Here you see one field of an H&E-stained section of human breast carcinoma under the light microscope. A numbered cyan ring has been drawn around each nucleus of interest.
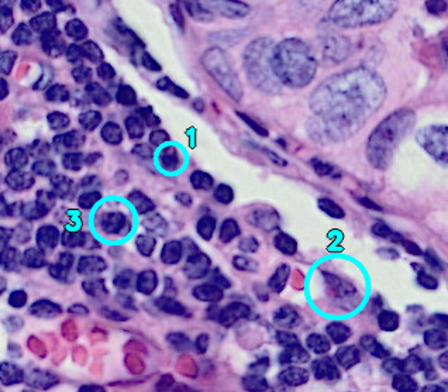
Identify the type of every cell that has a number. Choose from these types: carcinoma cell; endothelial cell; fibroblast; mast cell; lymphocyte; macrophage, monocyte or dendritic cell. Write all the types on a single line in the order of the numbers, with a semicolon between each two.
lymphocyte; endothelial cell; lymphocyte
